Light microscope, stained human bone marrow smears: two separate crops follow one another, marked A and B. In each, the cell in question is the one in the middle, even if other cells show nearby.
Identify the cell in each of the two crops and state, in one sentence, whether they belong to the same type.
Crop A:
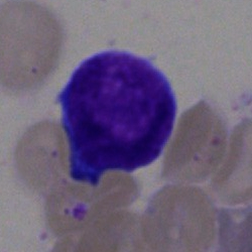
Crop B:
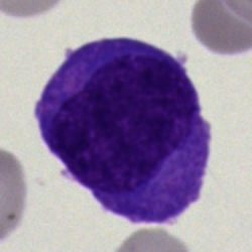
No, the cell at the middle of crop A is a lymphocyte, while crop B centres on a blast.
